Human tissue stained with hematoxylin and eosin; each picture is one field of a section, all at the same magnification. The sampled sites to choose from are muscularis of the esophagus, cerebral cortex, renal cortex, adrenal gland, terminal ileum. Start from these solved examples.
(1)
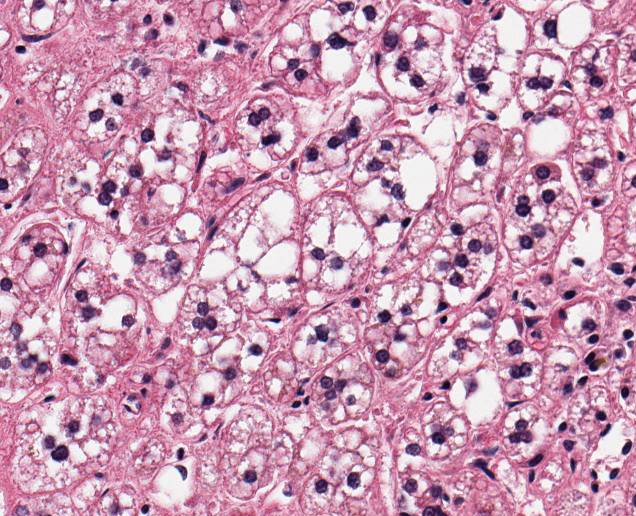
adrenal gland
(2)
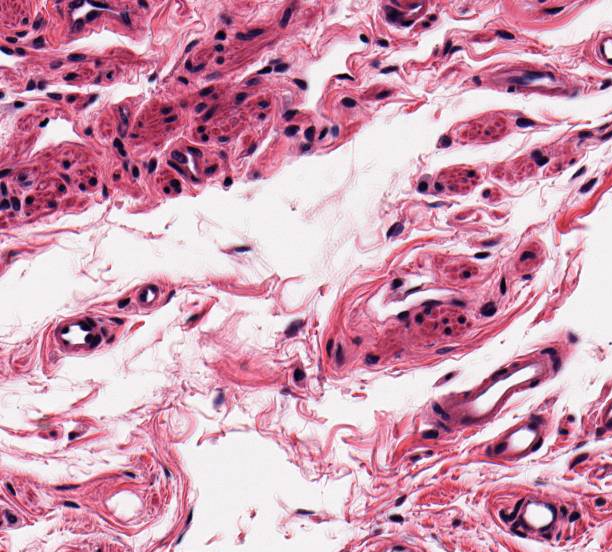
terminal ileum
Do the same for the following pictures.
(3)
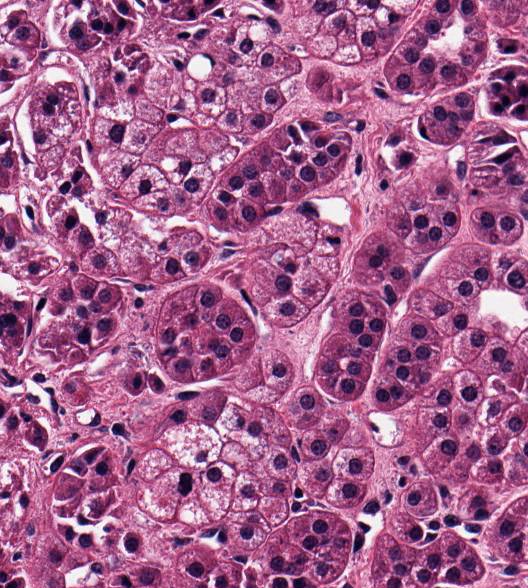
adrenal gland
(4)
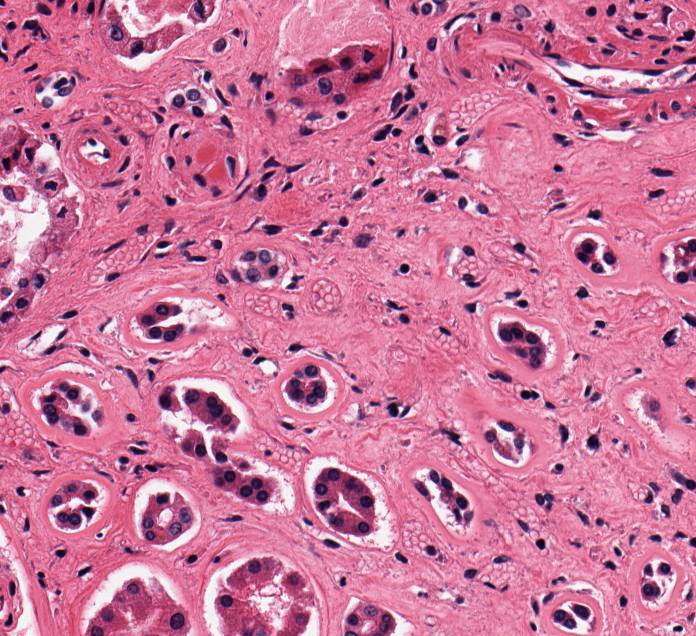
renal cortex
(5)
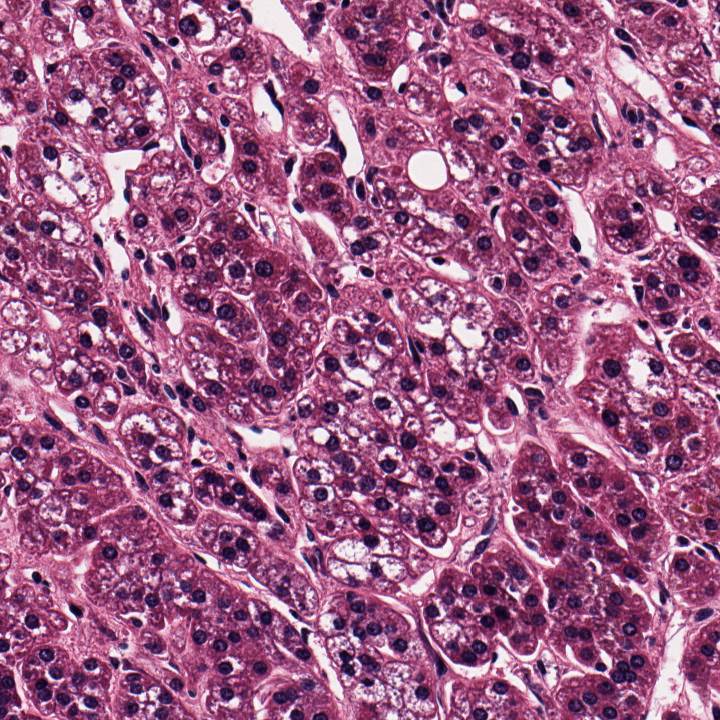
adrenal gland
